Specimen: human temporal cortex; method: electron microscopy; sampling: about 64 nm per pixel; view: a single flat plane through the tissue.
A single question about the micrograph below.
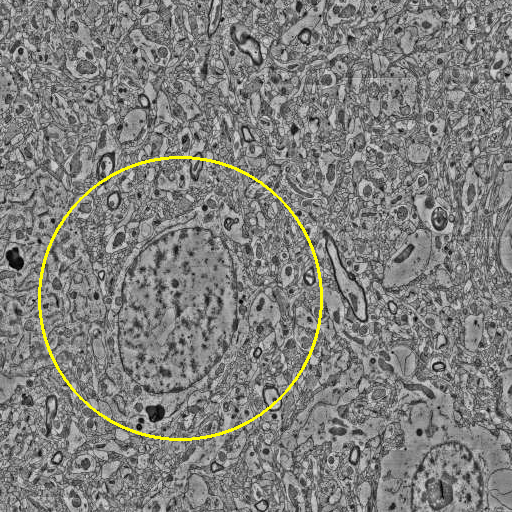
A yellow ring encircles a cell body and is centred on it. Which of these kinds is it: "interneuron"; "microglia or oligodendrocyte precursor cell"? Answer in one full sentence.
The cell body at the centre of the yellow ring belongs to an interneuron.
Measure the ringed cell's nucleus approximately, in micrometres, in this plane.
About 11 by 8 micrometres in this plane.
